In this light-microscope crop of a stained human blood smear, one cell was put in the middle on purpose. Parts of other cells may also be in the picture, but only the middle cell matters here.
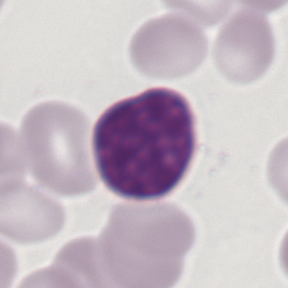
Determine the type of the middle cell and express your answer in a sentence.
The central element of this crop is a cell, namely a smudge cell.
